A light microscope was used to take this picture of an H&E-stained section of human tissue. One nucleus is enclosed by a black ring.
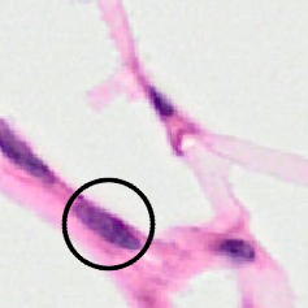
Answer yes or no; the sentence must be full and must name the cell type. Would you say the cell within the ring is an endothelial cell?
Yes, the cell within the ring counts as an endothelial cell in this tissue.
